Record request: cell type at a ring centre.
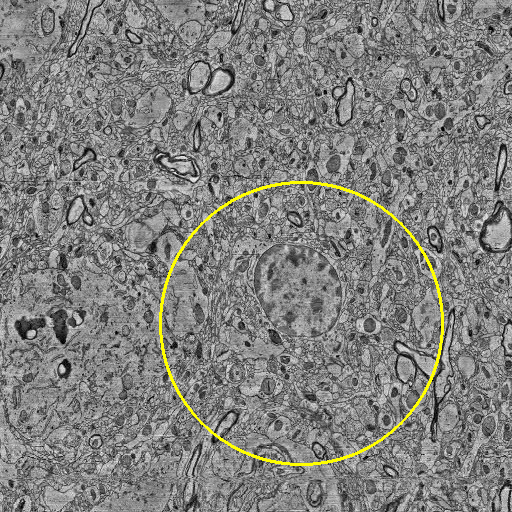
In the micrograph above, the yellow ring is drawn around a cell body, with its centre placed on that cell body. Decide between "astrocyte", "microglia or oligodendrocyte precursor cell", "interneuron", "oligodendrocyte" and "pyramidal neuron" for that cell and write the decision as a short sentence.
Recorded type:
The cell centred in the yellow ring is a microglial cell or oligodendrocyte precursor cell.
